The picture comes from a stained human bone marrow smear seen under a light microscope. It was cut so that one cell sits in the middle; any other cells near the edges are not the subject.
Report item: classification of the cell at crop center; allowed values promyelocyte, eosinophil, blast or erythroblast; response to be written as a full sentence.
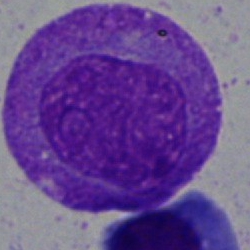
In the crop, the cell of interest at the centre is a blast.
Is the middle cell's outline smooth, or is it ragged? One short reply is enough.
From every side, the cell boundary is smooth and free of projections.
